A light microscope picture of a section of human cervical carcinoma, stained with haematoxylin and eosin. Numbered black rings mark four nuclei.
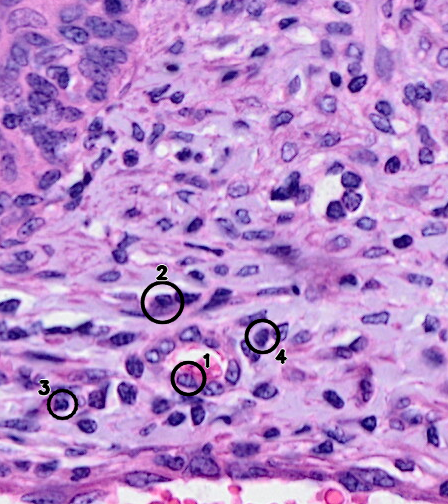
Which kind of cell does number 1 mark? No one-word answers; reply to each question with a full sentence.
It is as an endothelial cell that the cell numbered 1 is identified.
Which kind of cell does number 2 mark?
Of the numbered cells, the one labelled 2 is a lymphocyte.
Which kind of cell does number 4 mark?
Nucleus 4 in this section belongs to a lymphocyte.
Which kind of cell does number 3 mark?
The numbered cell 3 is identified here as a lymphocyte.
